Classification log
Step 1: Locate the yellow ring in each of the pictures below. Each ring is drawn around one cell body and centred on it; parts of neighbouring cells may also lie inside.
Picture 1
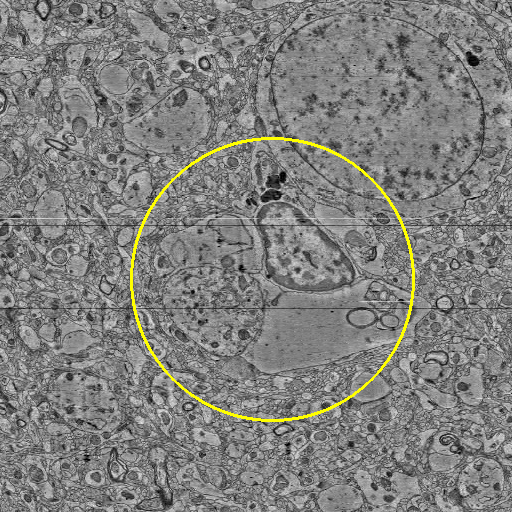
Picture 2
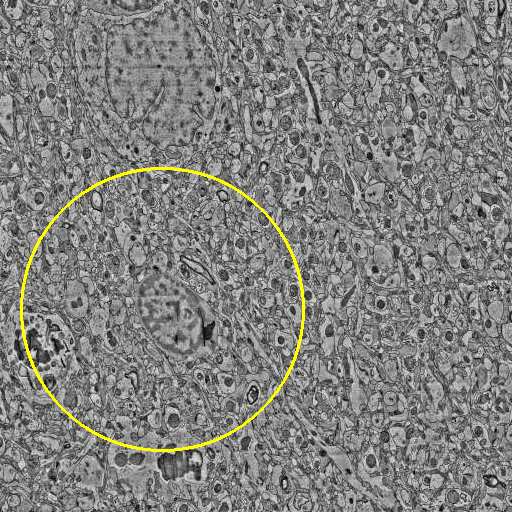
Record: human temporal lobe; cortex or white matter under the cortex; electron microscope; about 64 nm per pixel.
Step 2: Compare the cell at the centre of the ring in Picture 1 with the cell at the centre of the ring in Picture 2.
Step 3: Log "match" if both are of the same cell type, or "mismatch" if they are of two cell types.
mismatch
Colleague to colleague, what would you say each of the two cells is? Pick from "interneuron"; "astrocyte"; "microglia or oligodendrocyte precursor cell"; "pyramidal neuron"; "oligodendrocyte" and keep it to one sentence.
The cell in the first picture is a microglial cell or oligodendrocyte precursor cell; the second picture's cell is an oligodendrocyte.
